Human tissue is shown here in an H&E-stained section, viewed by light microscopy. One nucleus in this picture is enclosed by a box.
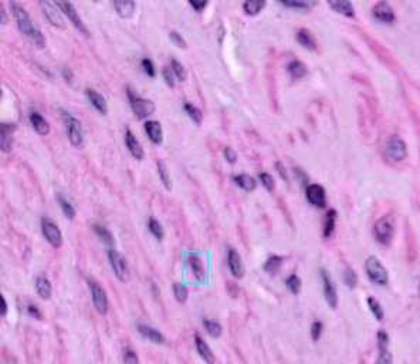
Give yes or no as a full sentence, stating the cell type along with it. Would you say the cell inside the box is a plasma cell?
No, rather than being a plasma cell, the cell inside the box is a smooth muscle cell.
